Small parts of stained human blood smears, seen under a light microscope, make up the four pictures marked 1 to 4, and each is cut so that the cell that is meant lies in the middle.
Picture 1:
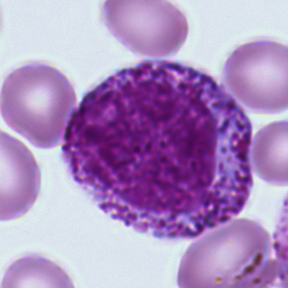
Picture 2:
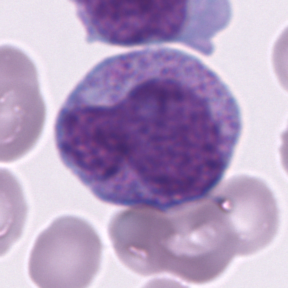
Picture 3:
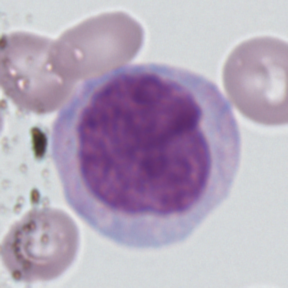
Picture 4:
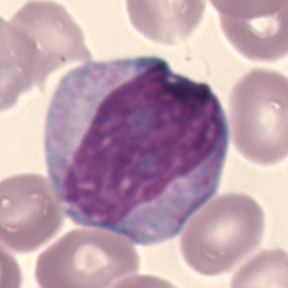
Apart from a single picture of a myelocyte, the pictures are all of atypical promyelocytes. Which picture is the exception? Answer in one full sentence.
The myelocyte is the one in picture 1.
